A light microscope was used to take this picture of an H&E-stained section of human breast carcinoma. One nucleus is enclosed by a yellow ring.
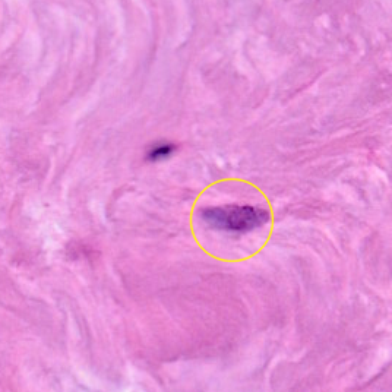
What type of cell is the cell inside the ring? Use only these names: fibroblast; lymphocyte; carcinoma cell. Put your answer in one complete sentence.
In cellular terms, the cell inside the ring is a fibroblast.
